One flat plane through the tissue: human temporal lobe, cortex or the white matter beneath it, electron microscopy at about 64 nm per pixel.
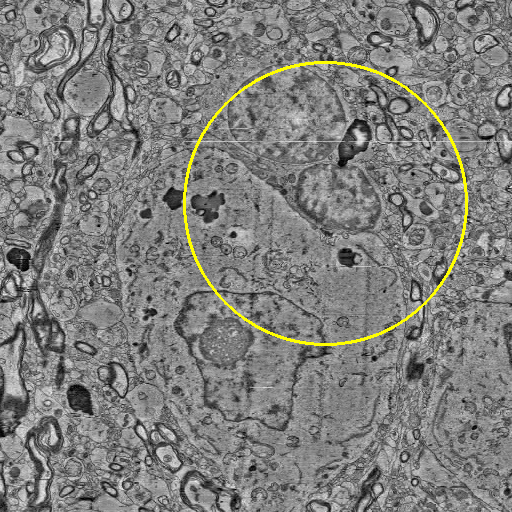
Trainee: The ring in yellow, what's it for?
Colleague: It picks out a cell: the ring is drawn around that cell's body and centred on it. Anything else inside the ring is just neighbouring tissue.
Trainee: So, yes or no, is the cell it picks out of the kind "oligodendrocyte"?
yes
